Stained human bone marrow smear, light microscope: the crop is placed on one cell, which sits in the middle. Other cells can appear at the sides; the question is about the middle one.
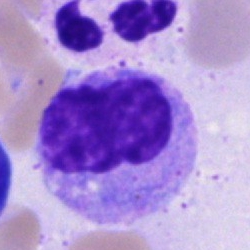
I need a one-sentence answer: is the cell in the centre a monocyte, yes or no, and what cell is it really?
Yes, the cell in the central position is a monocyte.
